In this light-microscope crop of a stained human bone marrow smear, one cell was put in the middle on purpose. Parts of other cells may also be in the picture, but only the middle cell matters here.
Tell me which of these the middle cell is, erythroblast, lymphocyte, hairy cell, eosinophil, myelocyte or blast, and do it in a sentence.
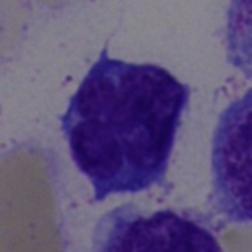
This crop has a blast at its centre.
